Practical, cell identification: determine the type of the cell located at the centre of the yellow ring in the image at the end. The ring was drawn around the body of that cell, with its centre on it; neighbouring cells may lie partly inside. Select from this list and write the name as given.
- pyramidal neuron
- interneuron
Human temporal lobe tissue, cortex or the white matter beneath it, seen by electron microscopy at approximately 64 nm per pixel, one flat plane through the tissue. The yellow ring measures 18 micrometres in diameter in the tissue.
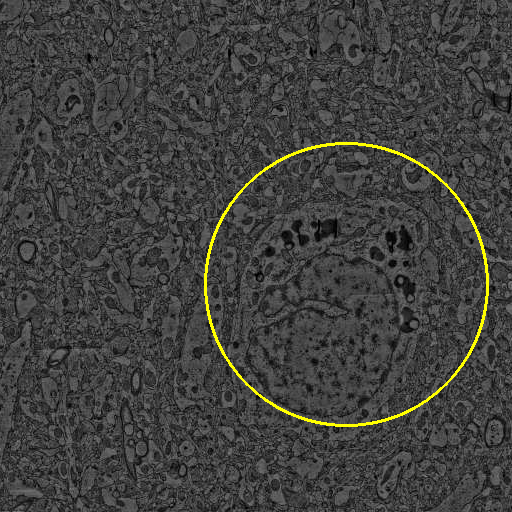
interneuron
